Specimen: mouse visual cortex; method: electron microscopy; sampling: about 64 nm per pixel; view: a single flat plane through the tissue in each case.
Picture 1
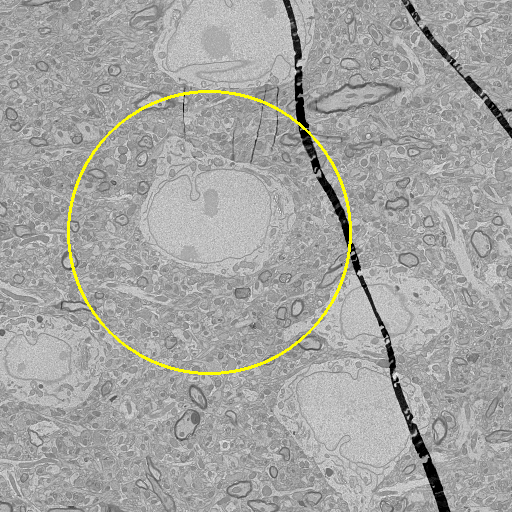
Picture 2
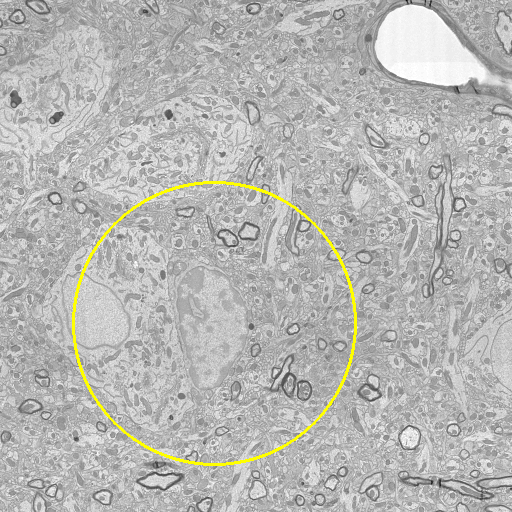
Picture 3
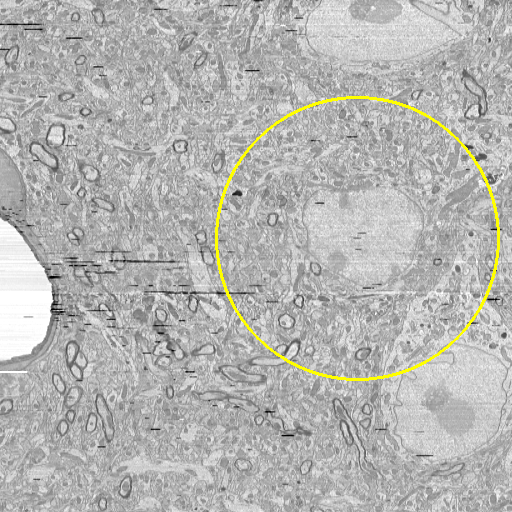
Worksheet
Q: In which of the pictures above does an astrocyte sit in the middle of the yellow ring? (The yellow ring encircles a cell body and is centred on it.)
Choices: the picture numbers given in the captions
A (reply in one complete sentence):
In picture 3, the cell sitting at the centre of the ring is the match.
